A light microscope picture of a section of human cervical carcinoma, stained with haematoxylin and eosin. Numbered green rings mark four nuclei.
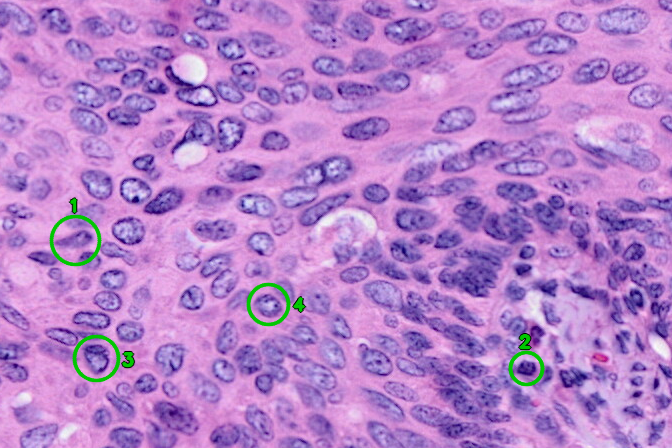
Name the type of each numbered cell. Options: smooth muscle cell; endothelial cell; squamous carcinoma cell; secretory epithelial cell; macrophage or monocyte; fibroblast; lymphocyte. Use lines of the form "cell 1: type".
cell 1: squamous carcinoma cell
cell 2: lymphocyte
cell 3: squamous carcinoma cell
cell 4: squamous carcinoma cell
